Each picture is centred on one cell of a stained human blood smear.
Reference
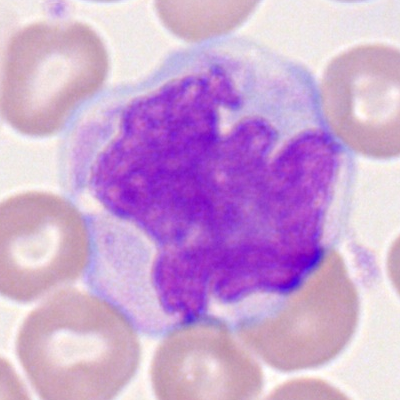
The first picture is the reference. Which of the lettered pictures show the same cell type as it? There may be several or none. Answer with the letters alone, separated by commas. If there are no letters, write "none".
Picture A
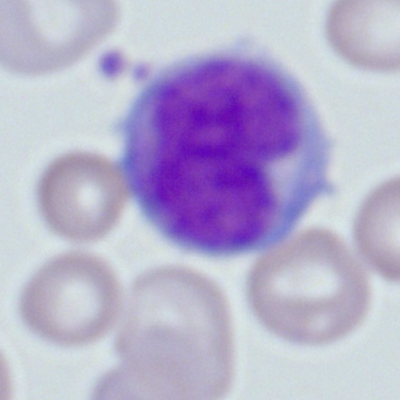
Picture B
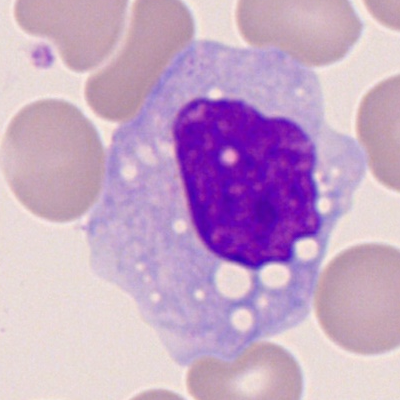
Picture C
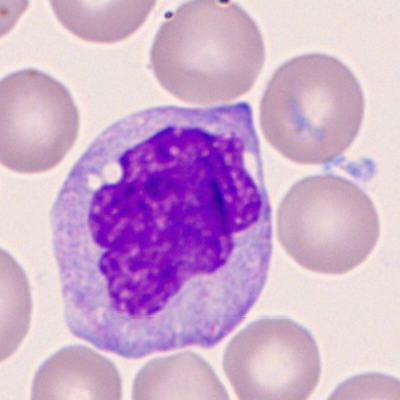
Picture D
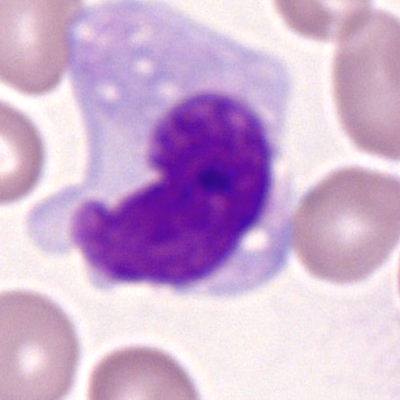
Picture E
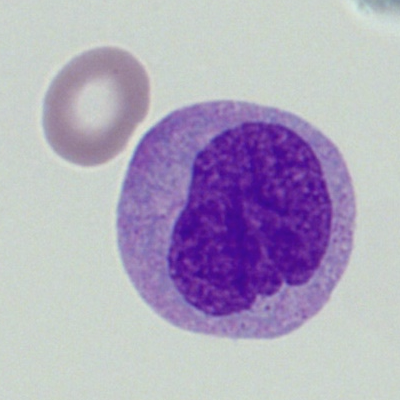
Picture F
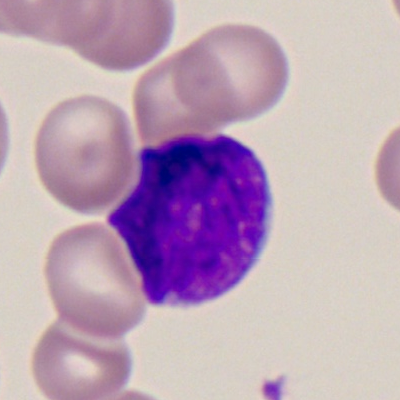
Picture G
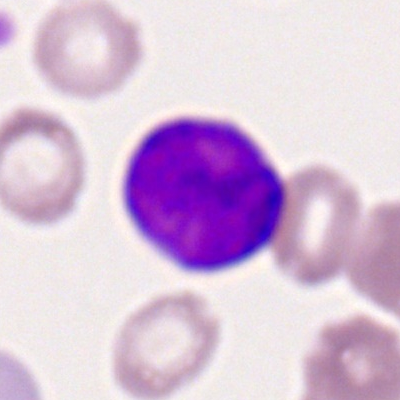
A, B, C, D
